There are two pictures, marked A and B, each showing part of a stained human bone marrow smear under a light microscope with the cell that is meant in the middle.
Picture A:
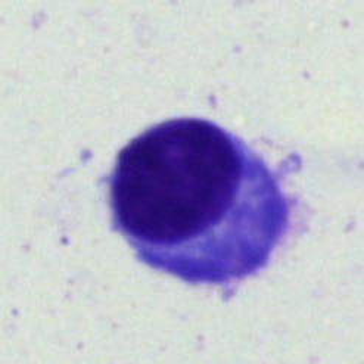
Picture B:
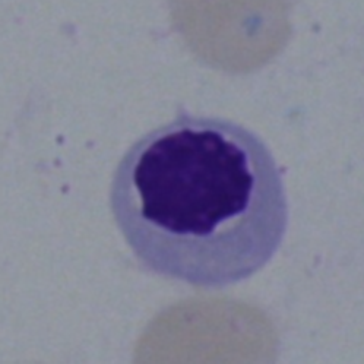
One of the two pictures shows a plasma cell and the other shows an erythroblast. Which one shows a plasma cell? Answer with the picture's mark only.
A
